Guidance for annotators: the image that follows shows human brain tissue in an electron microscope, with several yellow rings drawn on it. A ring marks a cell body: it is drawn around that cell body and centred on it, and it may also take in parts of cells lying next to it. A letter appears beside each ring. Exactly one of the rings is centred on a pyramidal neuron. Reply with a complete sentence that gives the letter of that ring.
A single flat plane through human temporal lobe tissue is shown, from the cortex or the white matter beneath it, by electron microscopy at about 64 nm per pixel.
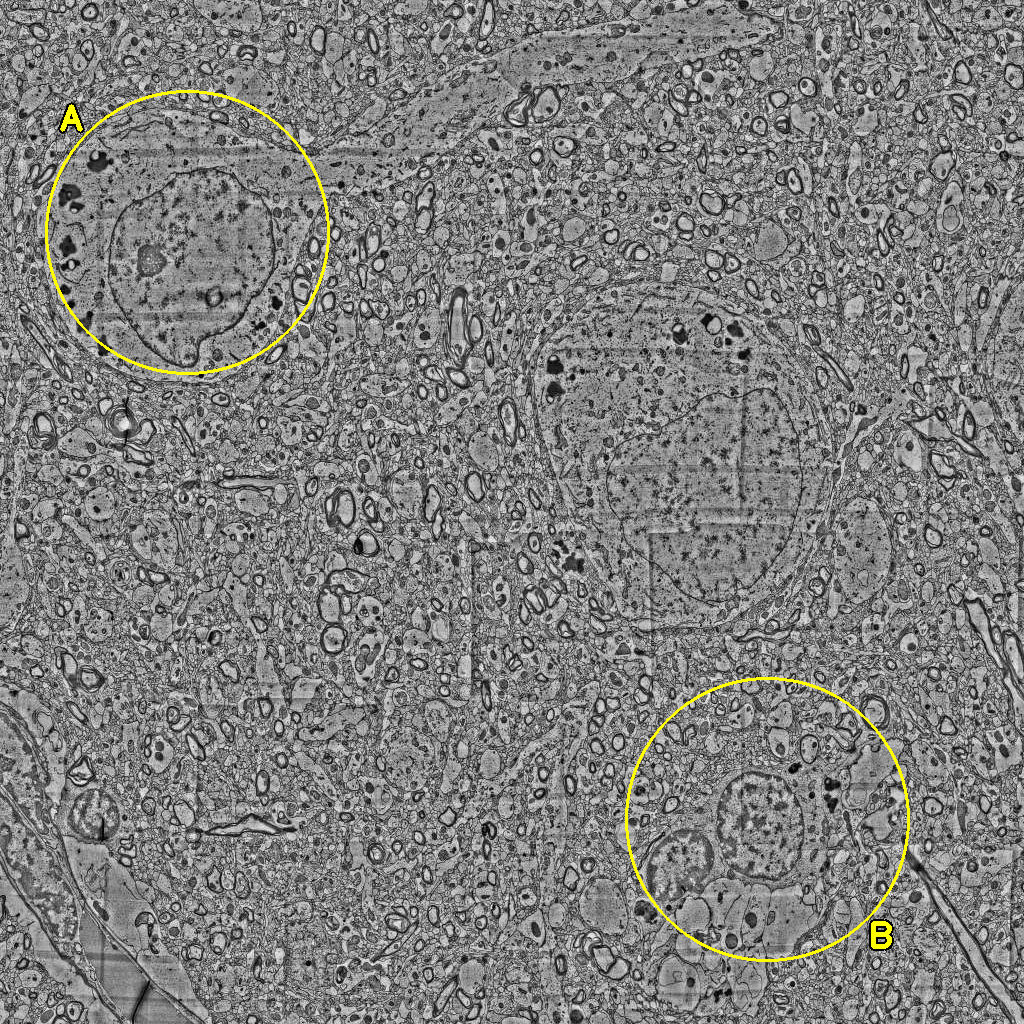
The ring lettered A is centred on that cell.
